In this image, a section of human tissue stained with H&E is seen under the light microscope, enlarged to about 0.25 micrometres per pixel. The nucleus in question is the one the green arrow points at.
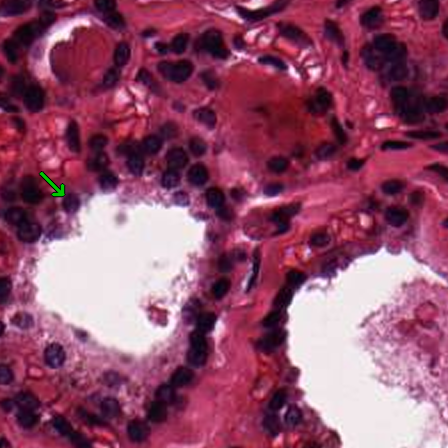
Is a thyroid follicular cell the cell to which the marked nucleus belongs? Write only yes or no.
yes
